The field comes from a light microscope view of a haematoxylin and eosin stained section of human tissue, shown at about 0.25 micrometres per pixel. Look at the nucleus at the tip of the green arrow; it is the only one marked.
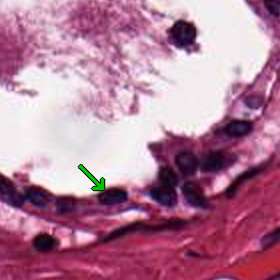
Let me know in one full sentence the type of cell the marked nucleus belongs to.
Here it is a thyroid follicular cell that the marked nucleus belongs to.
